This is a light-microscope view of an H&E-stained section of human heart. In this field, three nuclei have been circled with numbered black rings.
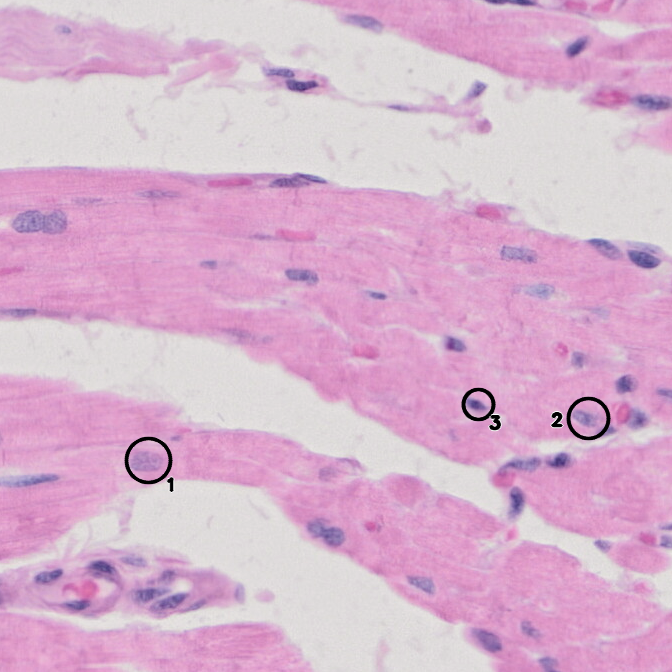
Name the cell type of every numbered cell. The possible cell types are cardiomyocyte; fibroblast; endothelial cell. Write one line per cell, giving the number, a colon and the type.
1: cardiomyocyte
2: cardiomyocyte
3: endothelial cell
